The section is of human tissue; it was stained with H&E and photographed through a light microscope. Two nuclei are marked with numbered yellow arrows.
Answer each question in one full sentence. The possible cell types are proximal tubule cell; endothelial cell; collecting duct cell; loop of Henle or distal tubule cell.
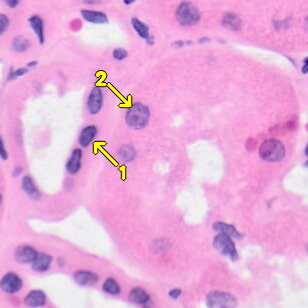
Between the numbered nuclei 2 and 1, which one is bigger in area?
Nucleus 2 covers more area, about 2 times as much as nucleus 1.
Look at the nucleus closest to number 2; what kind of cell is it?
The nucleus nearest to number 2 is that of a proximal tubule cell.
